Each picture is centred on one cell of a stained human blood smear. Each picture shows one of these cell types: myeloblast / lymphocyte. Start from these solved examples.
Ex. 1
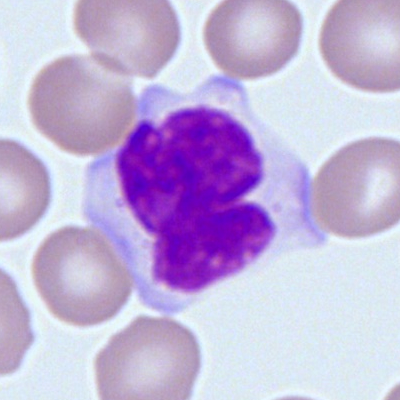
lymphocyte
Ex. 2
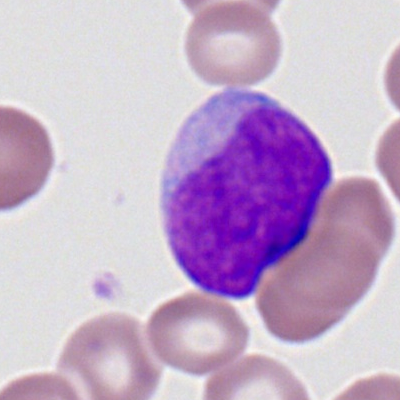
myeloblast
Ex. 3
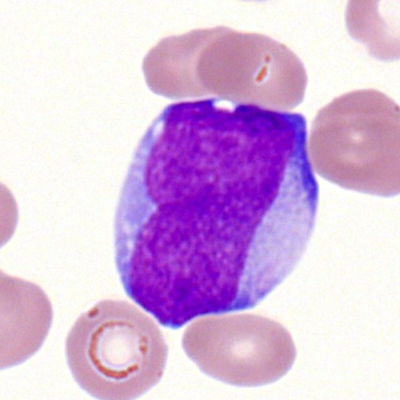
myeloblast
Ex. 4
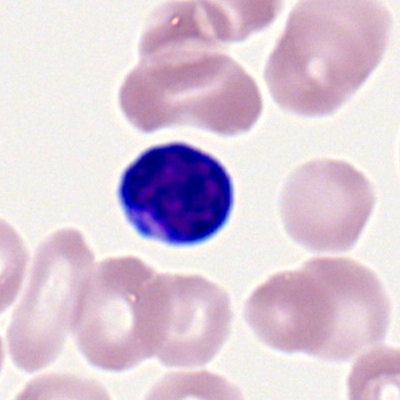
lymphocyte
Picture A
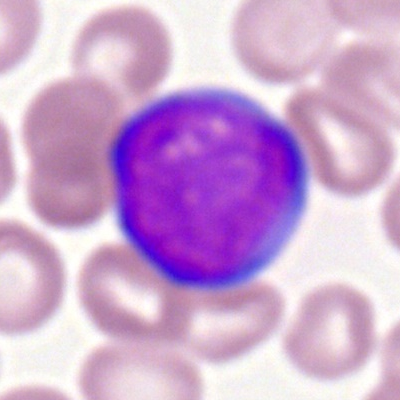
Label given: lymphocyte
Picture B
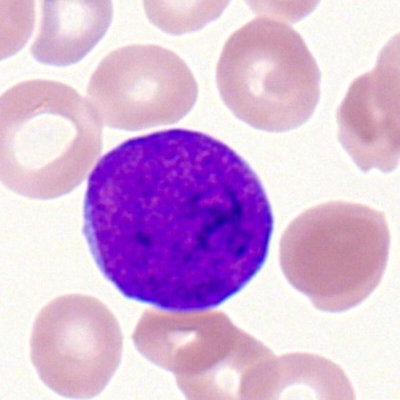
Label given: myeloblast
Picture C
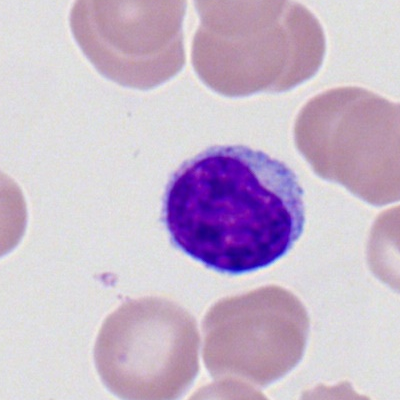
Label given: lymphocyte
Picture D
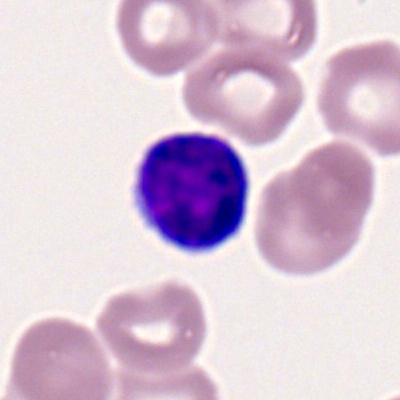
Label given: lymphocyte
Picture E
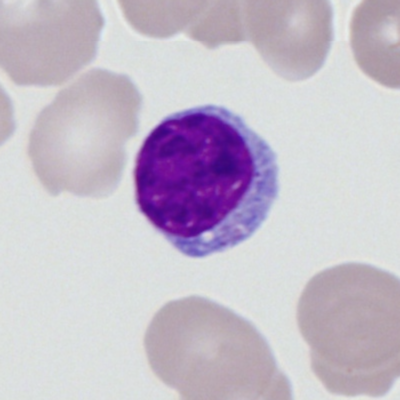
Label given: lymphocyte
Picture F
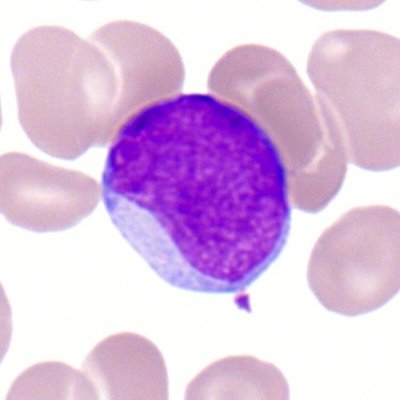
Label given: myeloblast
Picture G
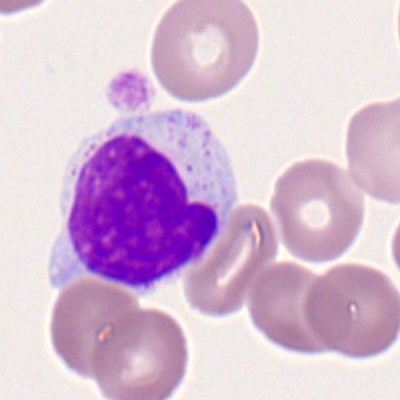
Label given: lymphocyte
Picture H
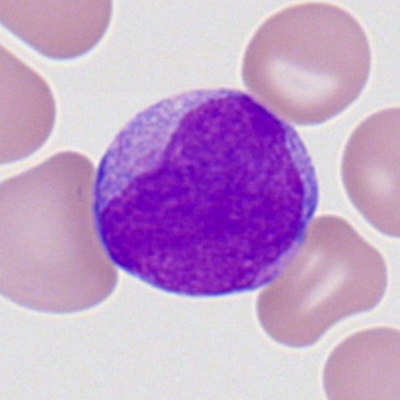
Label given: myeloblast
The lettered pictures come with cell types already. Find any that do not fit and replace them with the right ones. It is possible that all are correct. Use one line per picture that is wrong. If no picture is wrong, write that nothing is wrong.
A is labelled lymphocyte; correct label: myeloblast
